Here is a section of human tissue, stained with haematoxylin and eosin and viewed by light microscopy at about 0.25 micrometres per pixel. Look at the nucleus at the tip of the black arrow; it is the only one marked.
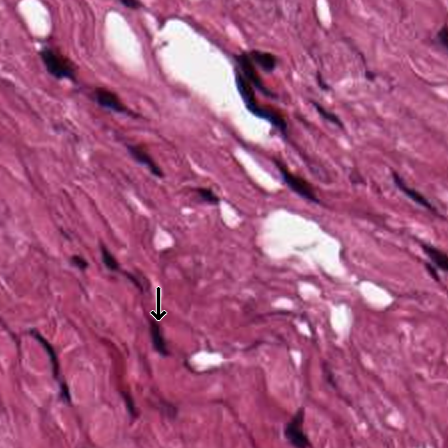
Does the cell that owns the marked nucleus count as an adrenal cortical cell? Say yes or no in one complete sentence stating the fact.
No, the marked nucleus is that of a supporting cell instead of an adrenal cortical cell.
